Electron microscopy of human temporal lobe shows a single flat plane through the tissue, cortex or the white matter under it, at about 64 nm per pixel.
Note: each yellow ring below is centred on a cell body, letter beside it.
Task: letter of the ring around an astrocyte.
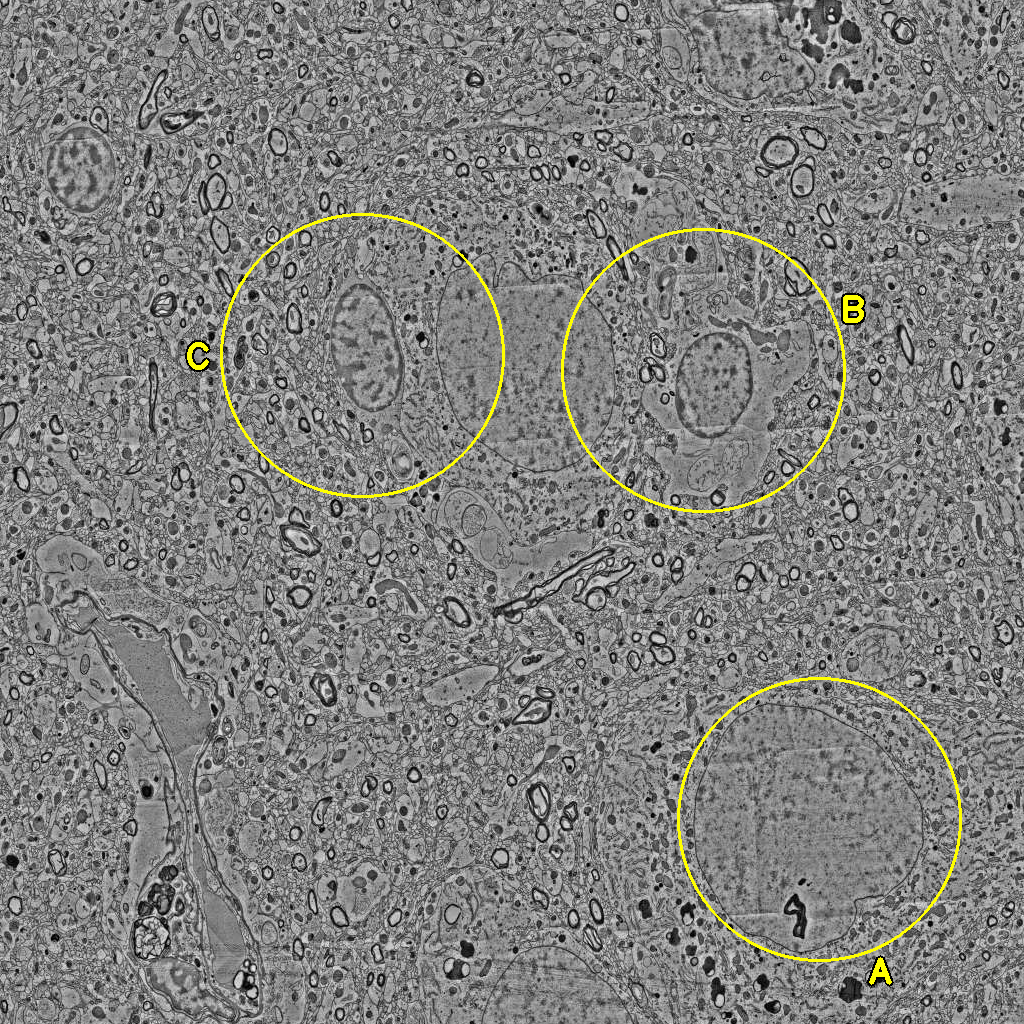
B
